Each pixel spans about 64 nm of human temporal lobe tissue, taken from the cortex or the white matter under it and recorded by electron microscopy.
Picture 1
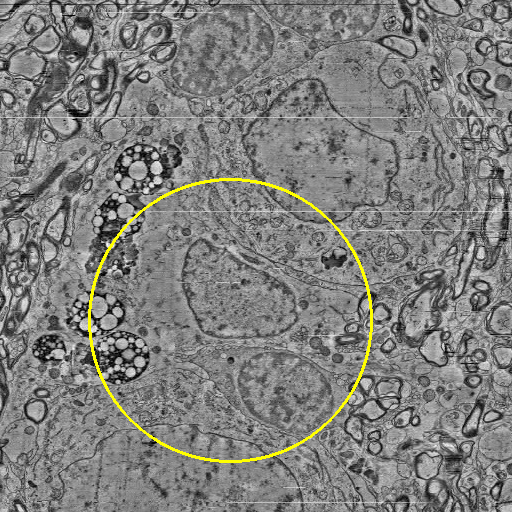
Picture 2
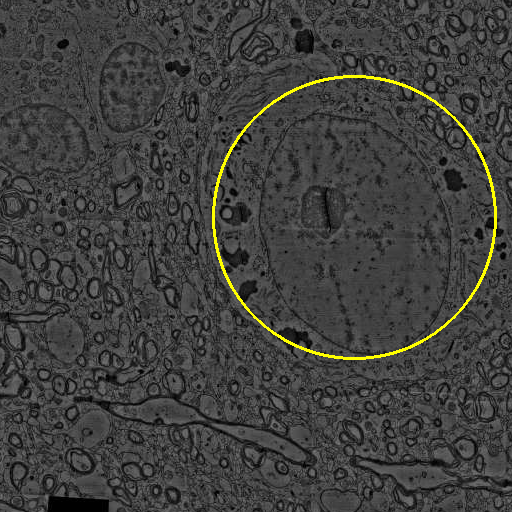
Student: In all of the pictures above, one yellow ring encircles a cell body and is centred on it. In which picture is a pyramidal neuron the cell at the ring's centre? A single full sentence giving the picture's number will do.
Picture number 2 has the wanted cell right at the centre of its ring.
